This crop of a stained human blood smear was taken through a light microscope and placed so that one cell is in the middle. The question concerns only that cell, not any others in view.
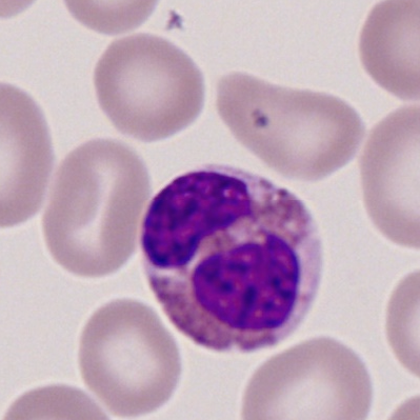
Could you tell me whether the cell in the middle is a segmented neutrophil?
no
